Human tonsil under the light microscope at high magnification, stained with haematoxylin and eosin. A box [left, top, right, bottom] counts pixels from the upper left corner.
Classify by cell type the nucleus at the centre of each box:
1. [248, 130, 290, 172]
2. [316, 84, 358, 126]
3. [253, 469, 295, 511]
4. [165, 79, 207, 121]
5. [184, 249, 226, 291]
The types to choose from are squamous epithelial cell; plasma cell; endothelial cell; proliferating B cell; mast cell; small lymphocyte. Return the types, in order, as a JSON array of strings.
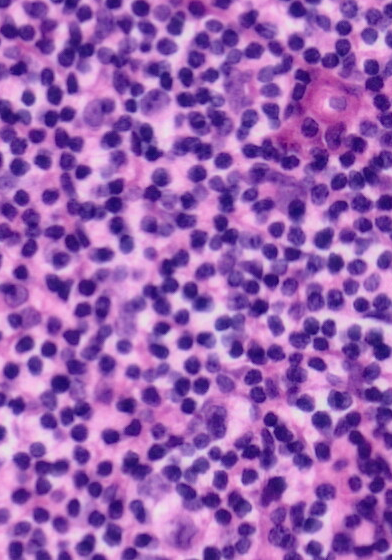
["small lymphocyte", "endothelial cell", "proliferating B cell", "small lymphocyte", "small lymphocyte"]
